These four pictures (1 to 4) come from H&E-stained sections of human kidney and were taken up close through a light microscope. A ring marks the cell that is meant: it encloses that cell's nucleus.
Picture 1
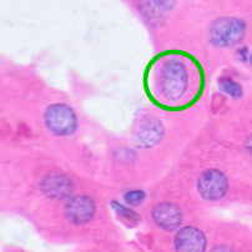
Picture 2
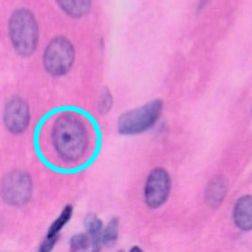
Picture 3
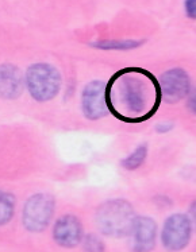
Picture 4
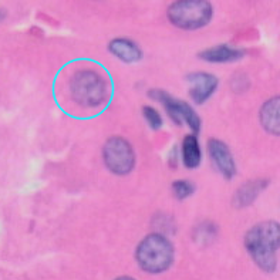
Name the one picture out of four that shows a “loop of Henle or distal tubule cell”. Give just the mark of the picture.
1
